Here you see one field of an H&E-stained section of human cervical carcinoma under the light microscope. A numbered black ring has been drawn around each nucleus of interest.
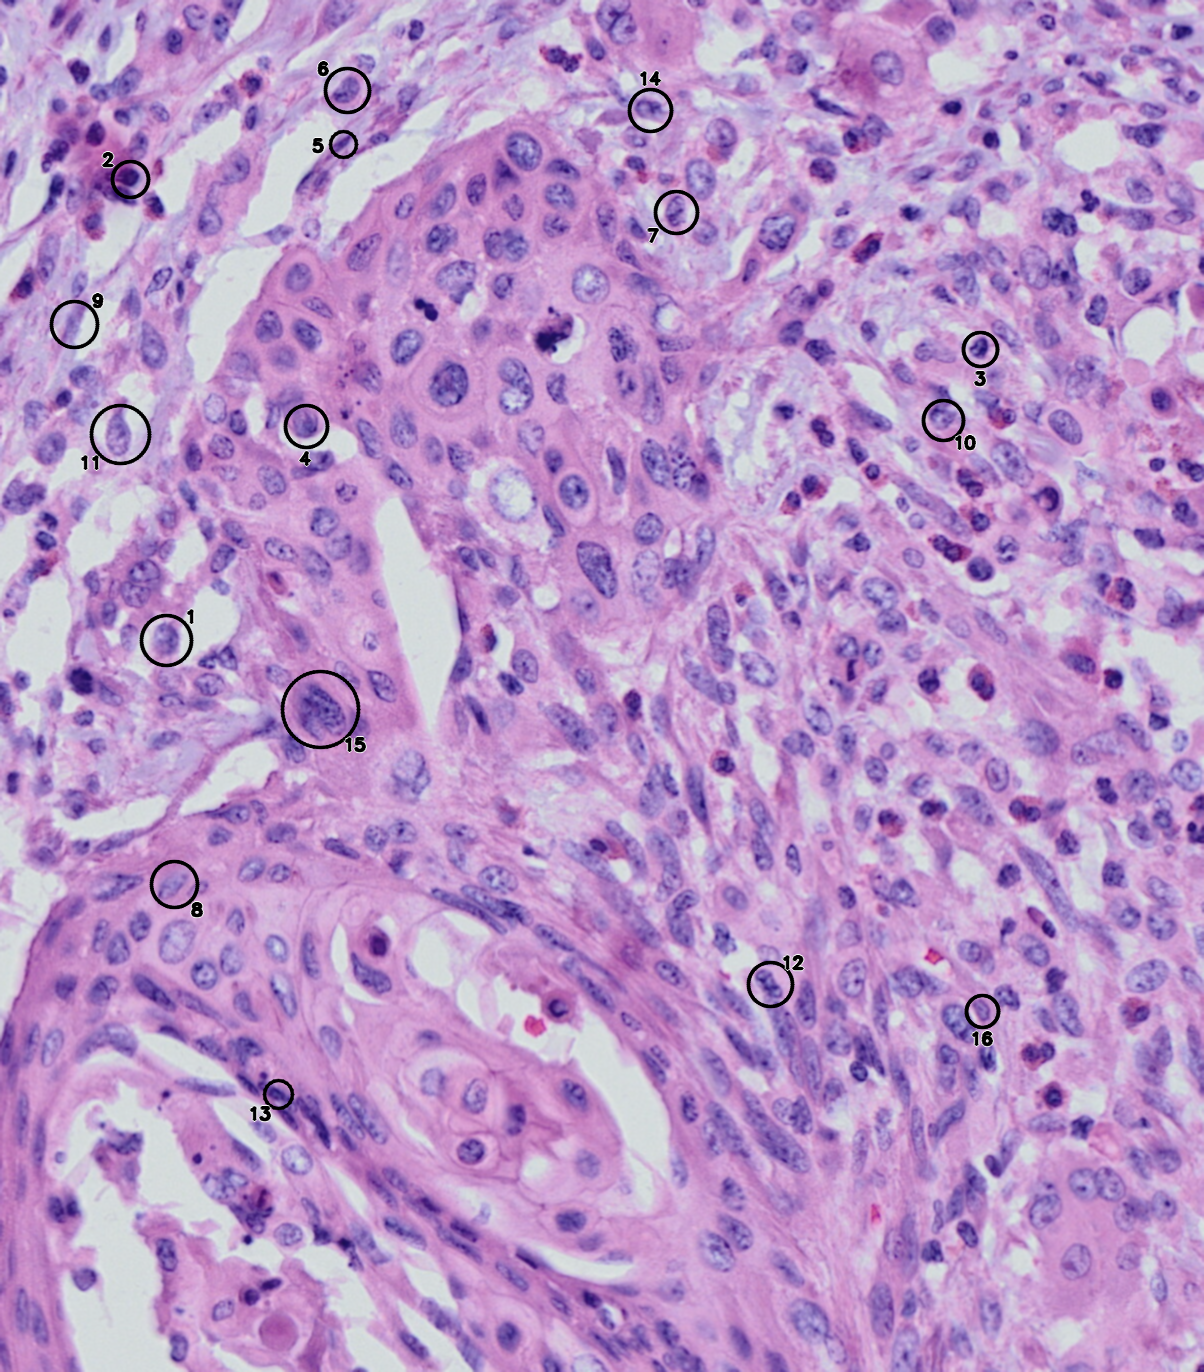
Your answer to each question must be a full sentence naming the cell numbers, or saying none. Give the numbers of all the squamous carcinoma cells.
The cells numbered 4, 8, 13 and 15 are of one kind: squamous carcinoma cells.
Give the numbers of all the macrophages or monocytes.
The cells marked by the numbers 1, 6, 7, 10, 11 and 14 are macrophages or monocytes.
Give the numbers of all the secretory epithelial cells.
Checking each numbered cell, none of them turn out to be secretory epithelial cells.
